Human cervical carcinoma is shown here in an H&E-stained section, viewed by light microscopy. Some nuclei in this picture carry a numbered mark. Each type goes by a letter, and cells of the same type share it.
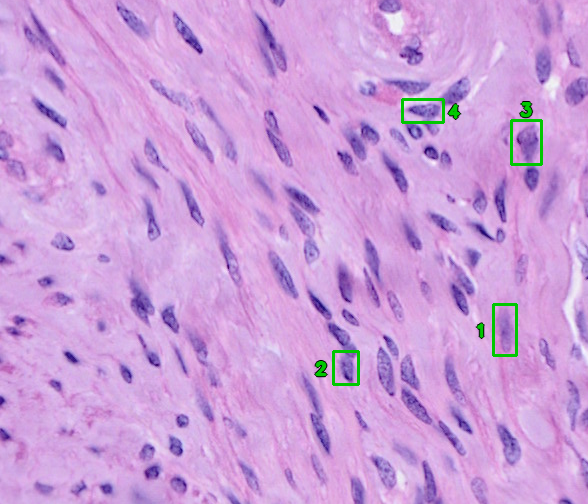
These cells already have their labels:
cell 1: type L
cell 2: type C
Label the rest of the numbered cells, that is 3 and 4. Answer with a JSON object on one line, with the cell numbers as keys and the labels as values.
{"3": "type C", "4": "type C"}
